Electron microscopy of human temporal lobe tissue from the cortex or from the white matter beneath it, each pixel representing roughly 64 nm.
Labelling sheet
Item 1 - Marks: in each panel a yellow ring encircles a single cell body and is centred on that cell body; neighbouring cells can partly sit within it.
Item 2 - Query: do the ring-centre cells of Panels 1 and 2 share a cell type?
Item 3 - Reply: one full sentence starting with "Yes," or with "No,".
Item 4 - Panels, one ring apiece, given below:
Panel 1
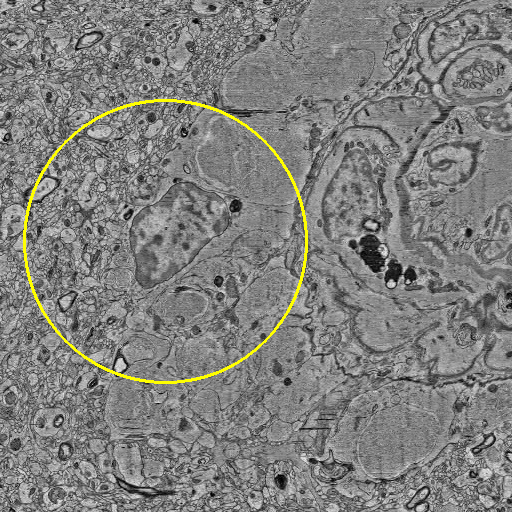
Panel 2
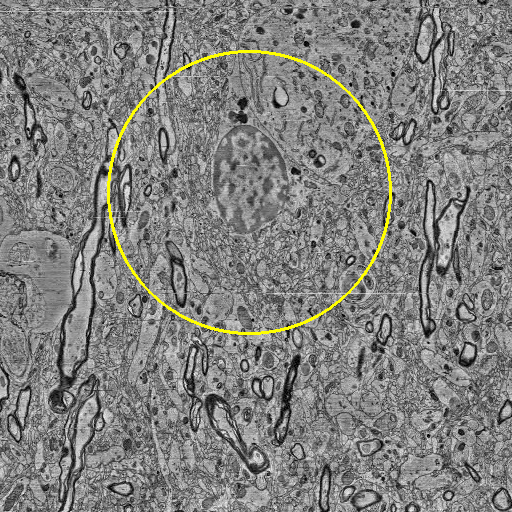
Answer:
Yes, Panel 1 and Panel 2 show one cell type at the centres of their rings.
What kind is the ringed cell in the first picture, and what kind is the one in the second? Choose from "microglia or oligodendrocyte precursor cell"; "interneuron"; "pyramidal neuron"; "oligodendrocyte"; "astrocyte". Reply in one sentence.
Each of the ringed cells, first and second, is a microglial cell or oligodendrocyte precursor cell.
